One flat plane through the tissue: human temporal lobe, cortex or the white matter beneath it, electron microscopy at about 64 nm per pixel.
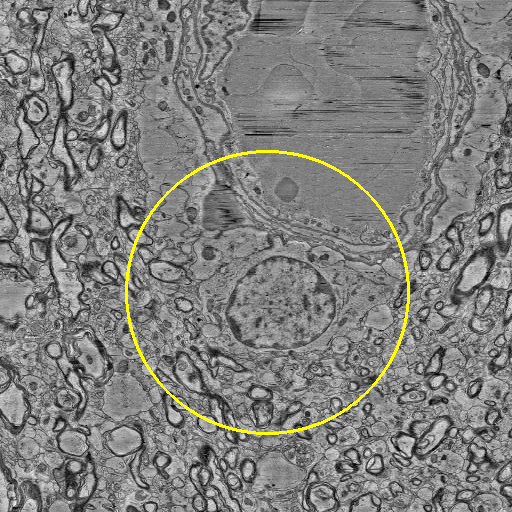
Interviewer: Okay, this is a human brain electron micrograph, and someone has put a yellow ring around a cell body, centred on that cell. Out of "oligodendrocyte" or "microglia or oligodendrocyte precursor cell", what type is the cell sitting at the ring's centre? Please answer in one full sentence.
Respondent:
The cell at the centre of the yellow ring in this picture is a microglial cell or oligodendrocyte precursor cell.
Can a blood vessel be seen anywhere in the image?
Yes, a blood vessel can be seen.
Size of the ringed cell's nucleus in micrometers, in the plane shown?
In this plane the nucleus measures roughly 6 micrometres across.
